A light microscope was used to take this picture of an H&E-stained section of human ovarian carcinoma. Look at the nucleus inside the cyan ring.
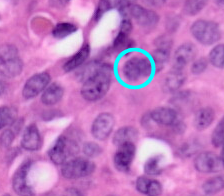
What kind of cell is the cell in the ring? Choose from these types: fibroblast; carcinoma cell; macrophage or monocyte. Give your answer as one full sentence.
The cell in the ring appears to be a carcinoma cell.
